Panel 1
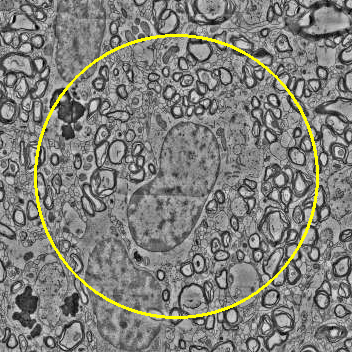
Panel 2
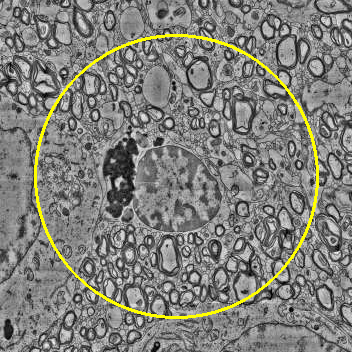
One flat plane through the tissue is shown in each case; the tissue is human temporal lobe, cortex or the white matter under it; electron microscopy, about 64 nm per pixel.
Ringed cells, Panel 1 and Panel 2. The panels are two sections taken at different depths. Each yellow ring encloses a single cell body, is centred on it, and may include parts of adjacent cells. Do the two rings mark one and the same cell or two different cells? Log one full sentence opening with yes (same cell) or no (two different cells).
No, the two rings are drawn around two distinct cells.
